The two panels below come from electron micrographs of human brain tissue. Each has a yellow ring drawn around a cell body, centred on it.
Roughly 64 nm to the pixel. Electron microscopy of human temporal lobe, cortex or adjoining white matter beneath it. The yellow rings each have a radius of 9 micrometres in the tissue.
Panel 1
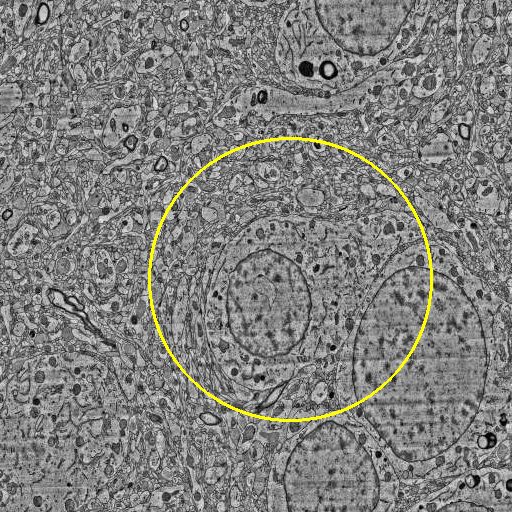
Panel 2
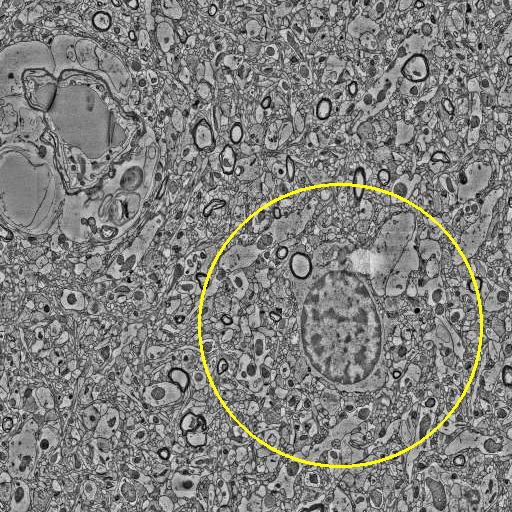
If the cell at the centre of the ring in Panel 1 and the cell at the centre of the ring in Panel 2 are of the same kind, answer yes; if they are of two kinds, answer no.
no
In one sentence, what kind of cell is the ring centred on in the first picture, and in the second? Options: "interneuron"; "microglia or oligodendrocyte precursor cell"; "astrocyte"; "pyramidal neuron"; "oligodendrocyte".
The cell at the centre of the second ring is an oligodendrocyte; the first ring's cell is a pyramidal neuron.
